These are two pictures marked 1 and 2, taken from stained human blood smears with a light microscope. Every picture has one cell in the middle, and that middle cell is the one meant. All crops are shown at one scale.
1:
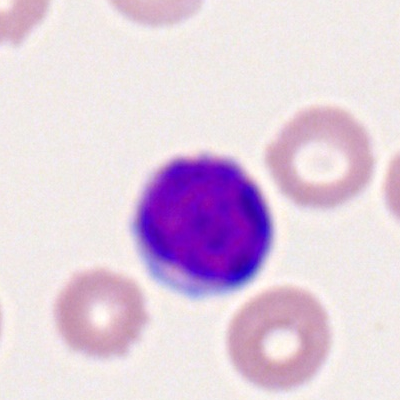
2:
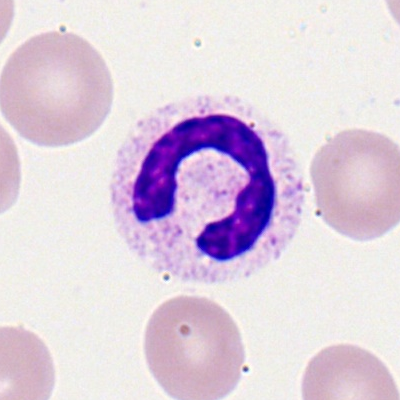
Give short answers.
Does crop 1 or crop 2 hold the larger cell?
2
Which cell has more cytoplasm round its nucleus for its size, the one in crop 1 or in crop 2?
2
